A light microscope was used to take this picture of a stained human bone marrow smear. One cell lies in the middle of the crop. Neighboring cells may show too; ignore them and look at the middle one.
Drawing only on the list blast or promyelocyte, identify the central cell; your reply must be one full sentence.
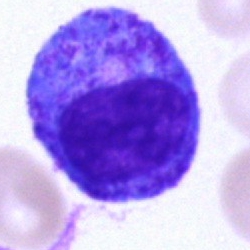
Seen at the centre of the crop is a promyelocyte.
